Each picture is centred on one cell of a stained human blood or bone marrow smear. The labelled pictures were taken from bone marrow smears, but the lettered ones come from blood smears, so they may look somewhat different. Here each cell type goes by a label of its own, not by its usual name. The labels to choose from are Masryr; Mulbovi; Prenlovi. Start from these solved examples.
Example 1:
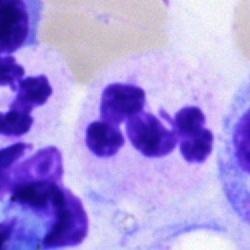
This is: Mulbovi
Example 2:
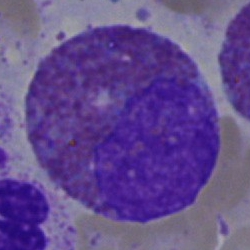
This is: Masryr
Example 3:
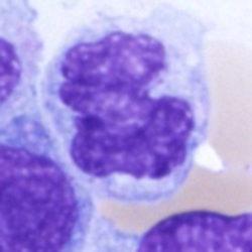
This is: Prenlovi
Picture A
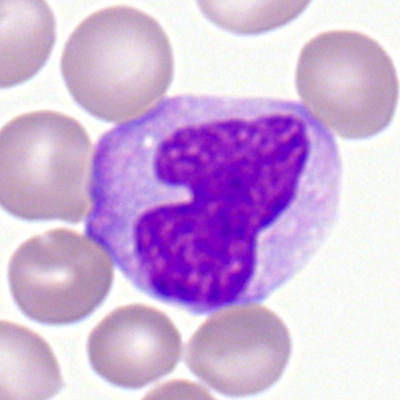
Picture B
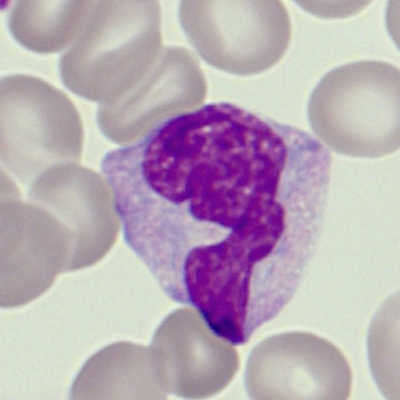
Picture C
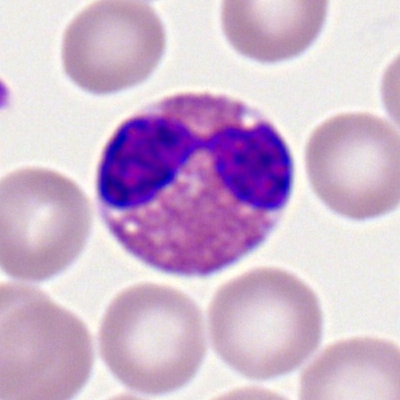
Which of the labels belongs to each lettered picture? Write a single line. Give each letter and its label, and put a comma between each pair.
A Prenlovi, B Prenlovi, C Masryr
